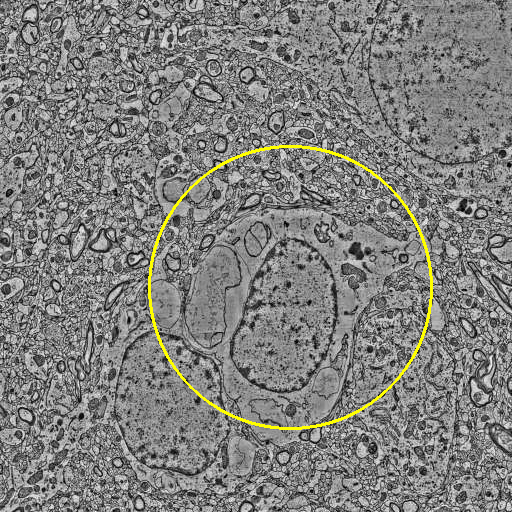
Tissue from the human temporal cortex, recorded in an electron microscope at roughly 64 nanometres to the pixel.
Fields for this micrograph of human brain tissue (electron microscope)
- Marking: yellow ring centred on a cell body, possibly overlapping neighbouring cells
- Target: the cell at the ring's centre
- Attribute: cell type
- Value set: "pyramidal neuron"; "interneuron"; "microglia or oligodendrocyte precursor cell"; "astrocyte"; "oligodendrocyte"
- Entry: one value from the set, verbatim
astrocyte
